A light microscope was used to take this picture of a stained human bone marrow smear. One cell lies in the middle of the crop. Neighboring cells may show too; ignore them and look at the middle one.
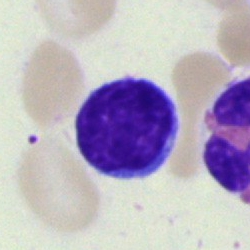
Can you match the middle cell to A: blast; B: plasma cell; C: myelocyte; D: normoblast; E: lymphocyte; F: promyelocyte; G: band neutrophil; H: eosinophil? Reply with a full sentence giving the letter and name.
Option E is to be chosen, as the central cell is a lymphocyte.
